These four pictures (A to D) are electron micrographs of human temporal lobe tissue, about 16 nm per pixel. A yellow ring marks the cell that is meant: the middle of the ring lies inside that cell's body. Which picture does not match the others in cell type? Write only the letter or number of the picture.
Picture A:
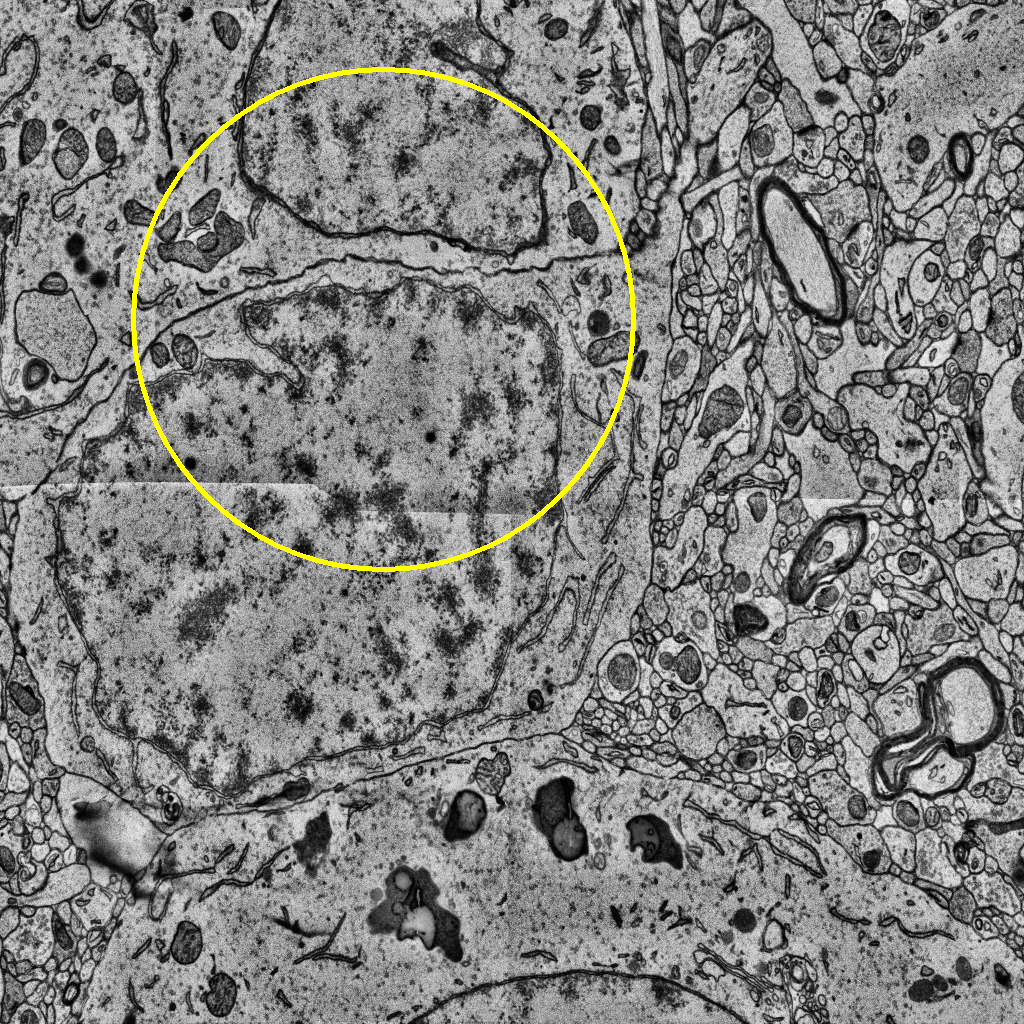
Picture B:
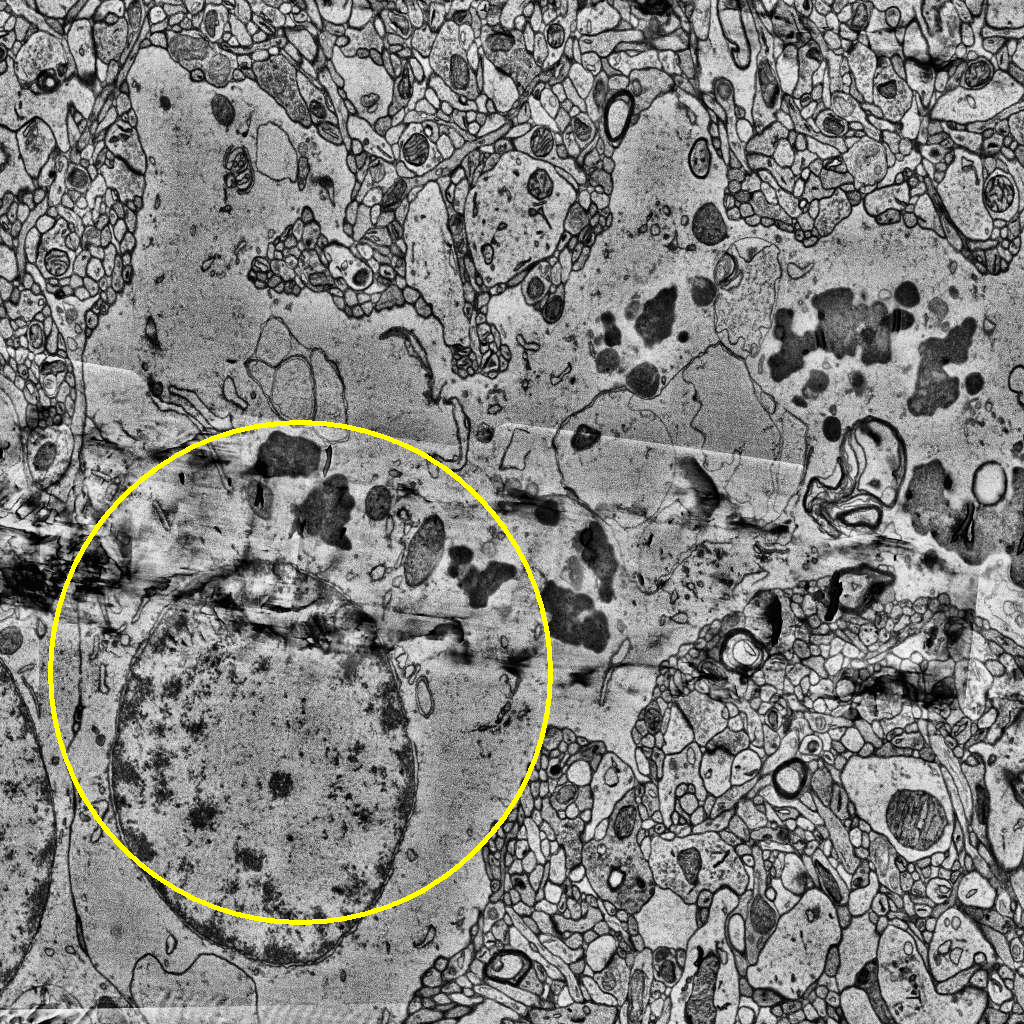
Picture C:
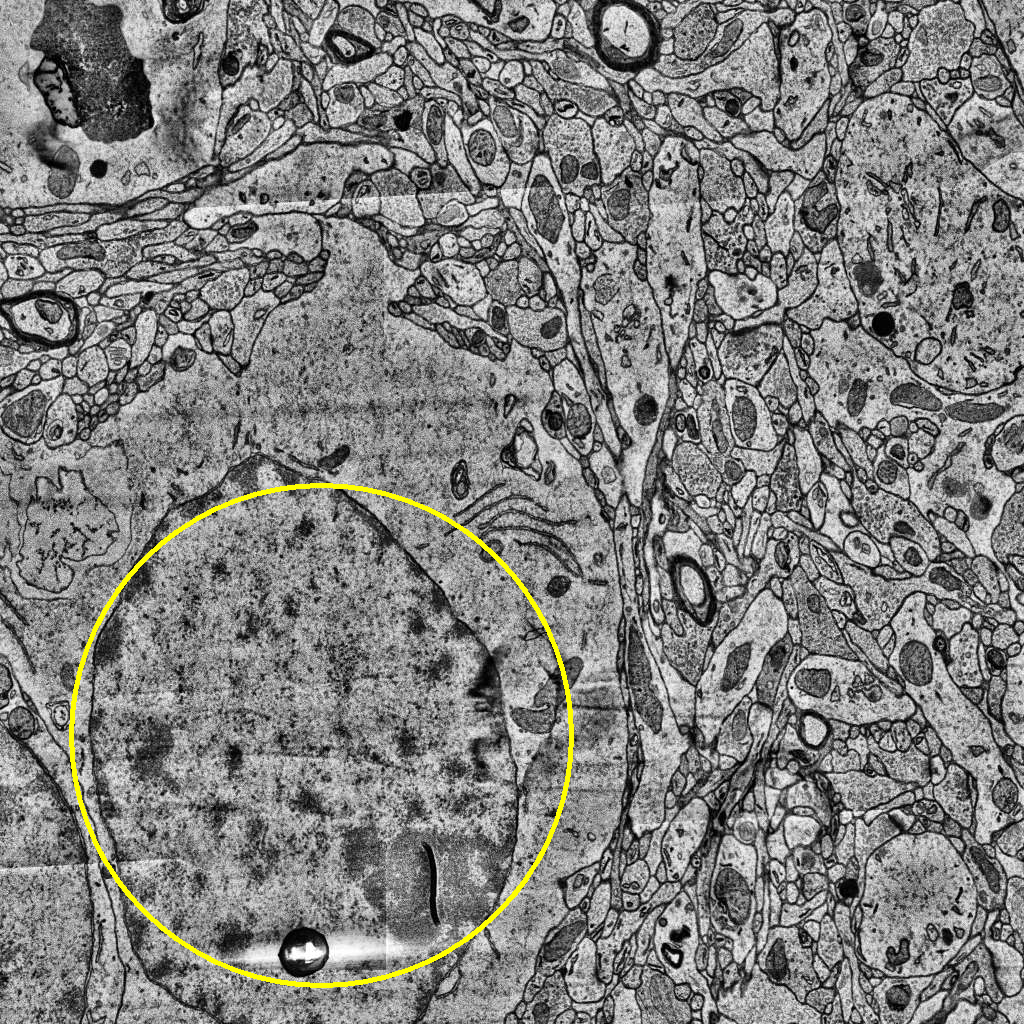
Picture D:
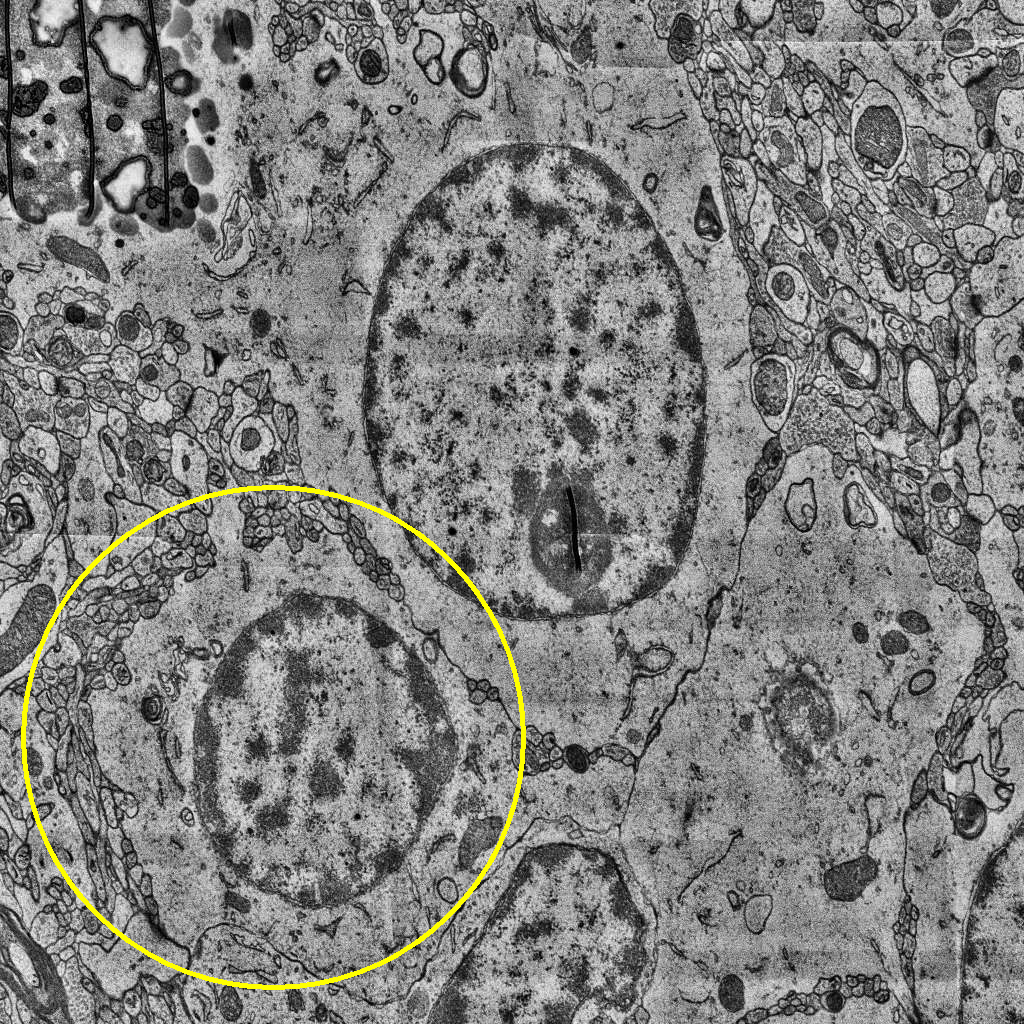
A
